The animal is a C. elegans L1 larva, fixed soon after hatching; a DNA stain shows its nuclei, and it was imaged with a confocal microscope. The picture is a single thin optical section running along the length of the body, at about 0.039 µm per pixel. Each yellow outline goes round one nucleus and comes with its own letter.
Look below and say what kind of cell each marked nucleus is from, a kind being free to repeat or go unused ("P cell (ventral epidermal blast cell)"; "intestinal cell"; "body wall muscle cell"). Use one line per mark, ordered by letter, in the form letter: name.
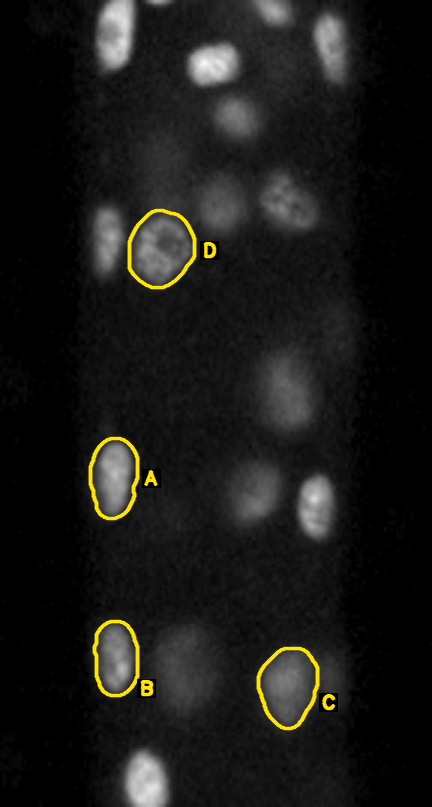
A: body wall muscle cell
B: body wall muscle cell
C: P cell (ventral epidermal blast cell)
D: intestinal cell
